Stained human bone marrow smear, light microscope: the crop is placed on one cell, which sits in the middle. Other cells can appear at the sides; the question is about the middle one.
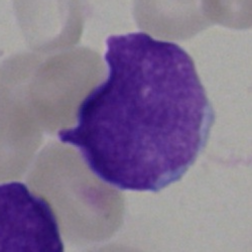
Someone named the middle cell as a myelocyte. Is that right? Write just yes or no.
no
